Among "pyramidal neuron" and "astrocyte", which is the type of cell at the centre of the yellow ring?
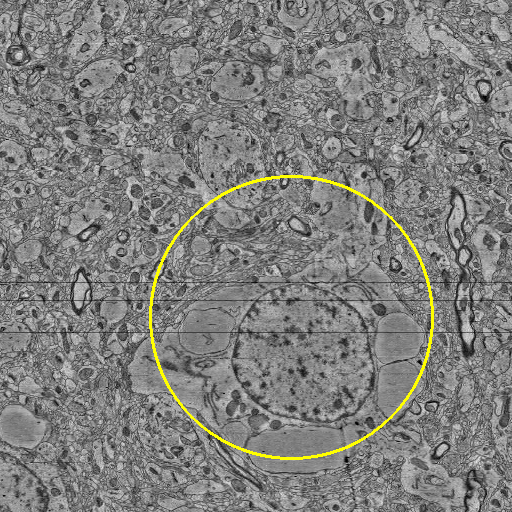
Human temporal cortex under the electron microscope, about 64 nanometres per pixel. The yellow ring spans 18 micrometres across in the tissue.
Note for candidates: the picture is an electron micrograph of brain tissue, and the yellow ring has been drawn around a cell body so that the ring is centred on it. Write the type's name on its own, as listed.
astrocyte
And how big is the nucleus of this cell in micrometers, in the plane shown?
Roughly 9 micrometres across, measured in this plane.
